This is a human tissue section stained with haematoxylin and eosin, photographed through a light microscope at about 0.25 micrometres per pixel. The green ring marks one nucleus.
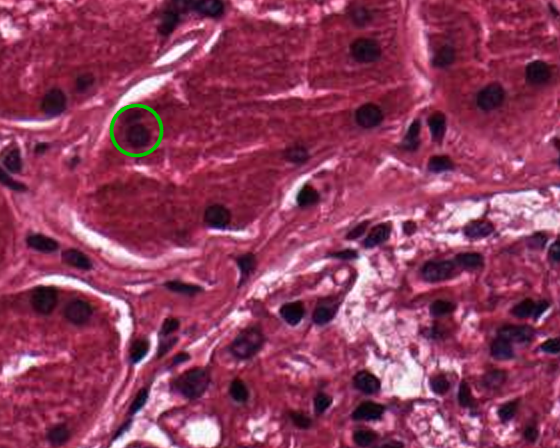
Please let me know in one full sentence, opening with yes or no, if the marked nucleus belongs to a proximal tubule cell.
Yes, it is a proximal tubule cell that holds the marked nucleus.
